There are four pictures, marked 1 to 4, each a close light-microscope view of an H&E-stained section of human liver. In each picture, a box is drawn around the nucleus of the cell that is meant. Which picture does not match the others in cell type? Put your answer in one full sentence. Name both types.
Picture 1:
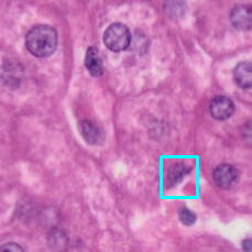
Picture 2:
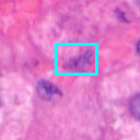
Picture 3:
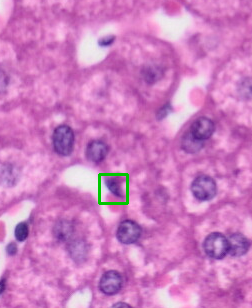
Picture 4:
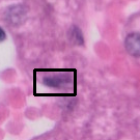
Picture 4 is the odd one out: it shows a “fibroblast or stellate cell”, while the others show endothelial cells.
